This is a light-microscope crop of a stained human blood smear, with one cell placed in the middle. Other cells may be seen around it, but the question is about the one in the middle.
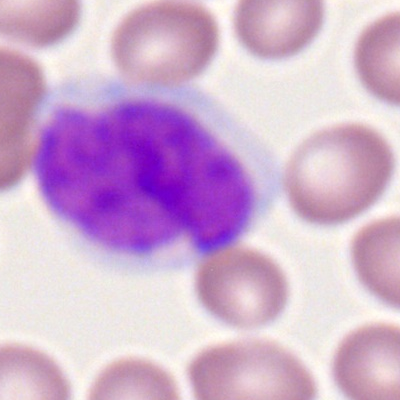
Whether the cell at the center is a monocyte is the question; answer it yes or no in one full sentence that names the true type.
Yes, the cell shown in the middle is a monocyte.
